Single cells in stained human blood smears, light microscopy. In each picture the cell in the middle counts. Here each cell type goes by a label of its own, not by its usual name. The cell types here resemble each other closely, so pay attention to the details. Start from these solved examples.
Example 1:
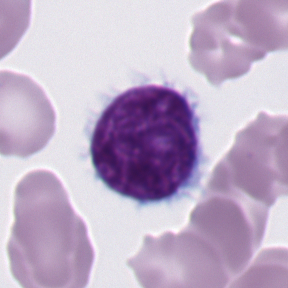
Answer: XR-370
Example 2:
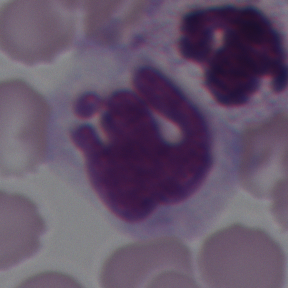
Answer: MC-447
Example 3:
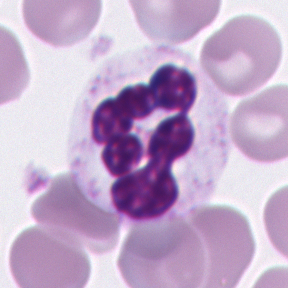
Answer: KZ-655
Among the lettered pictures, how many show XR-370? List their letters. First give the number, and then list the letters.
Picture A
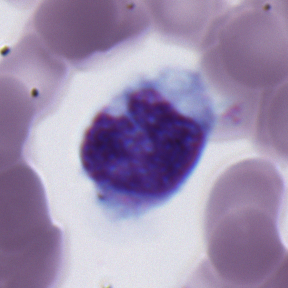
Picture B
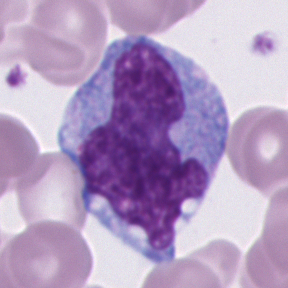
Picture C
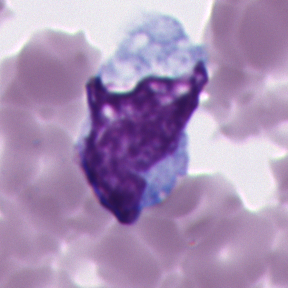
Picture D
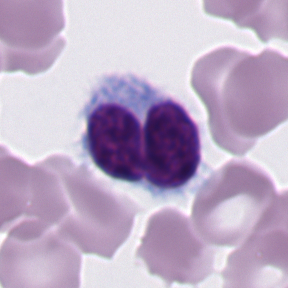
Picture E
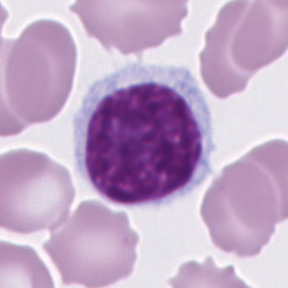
Count: 2 (D, E)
